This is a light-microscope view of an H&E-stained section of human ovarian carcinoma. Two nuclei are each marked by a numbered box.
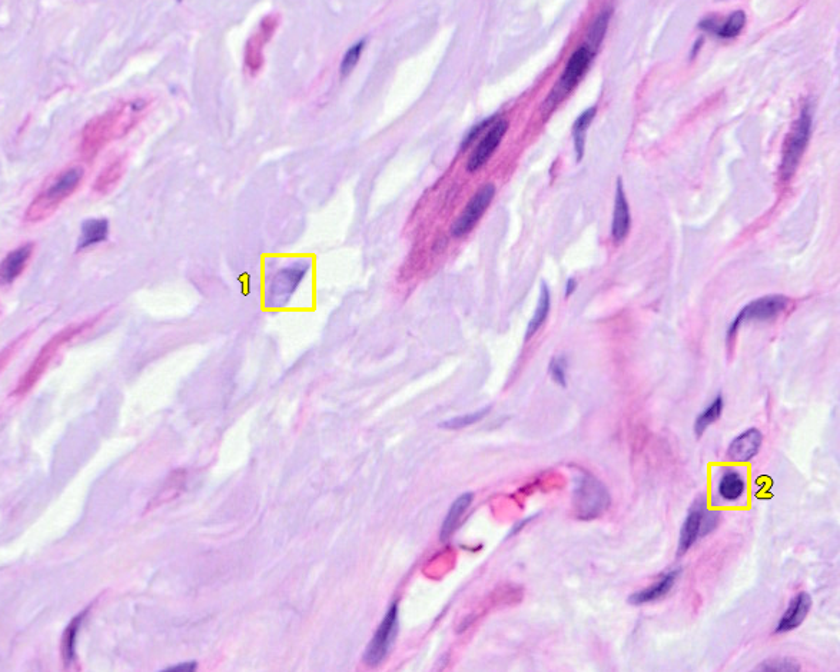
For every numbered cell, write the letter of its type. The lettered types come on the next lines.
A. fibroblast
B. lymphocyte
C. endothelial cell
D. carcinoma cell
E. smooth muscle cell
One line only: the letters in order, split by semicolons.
A; B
